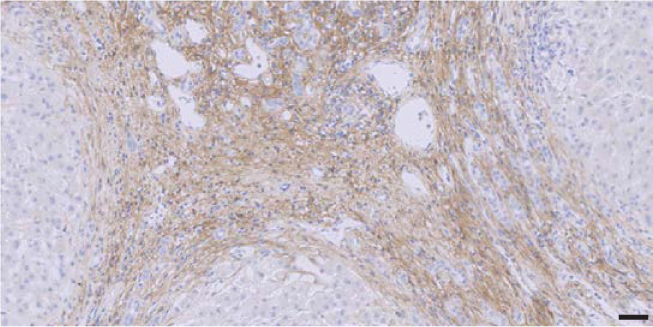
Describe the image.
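This is a section of cirrhotic liver in which broad, irregular bands of scar tissue cross the field. The bands are stained brown and are made of elongated, spindle-shaped cells and fibres with many small blue nuclei scattered among them. Rounded clear spaces, consistent with vessels, lie within the scar bands. Between the bands lie islands of paler liver parenchyma with cords of hepatocytes that show little brown stain. The overall pattern is of fibrous septa dividing the liver into nodules.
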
